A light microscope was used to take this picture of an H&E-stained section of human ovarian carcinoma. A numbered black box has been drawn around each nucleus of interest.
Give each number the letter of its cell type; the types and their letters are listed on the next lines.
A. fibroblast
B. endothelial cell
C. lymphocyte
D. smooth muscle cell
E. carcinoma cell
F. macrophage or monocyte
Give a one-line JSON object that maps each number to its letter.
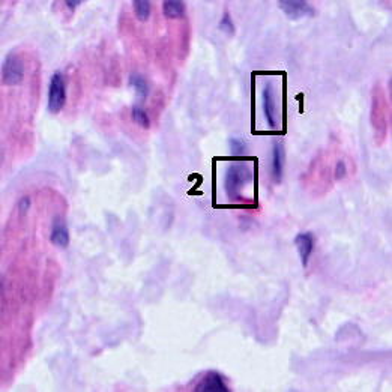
{"1": "A", "2": "B"}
